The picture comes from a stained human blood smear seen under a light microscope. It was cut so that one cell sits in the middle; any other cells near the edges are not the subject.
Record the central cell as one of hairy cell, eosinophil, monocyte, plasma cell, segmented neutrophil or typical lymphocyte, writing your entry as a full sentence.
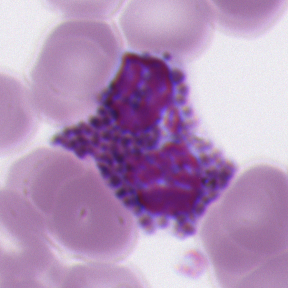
Here the centrally located cell is an eosinophil.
